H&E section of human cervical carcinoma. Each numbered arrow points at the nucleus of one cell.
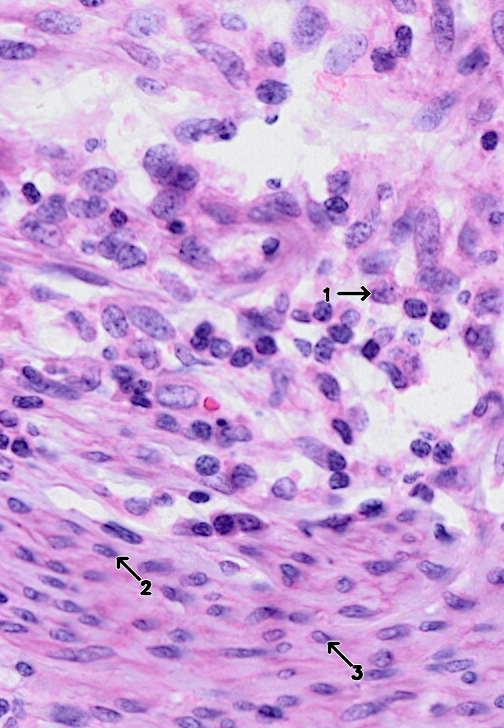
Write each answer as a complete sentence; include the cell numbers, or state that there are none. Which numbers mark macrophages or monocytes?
Among the marked cells, a macrophage or monocyte is found only at number 1.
